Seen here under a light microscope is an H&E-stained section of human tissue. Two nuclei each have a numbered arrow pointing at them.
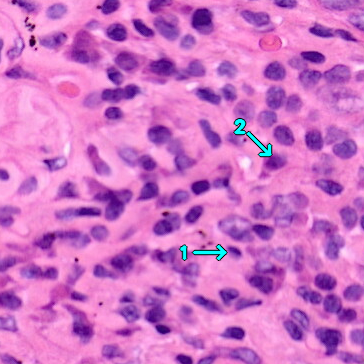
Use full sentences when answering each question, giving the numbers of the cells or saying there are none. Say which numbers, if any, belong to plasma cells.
Only one of the numbered nuclei, number 2, belongs to a plasma cell.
